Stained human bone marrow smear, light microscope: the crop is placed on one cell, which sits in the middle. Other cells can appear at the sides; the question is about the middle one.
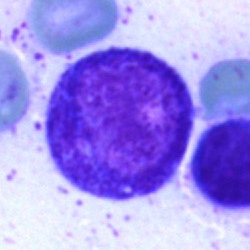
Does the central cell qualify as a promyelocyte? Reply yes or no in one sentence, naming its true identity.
Yes, this central cell is a promyelocyte.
